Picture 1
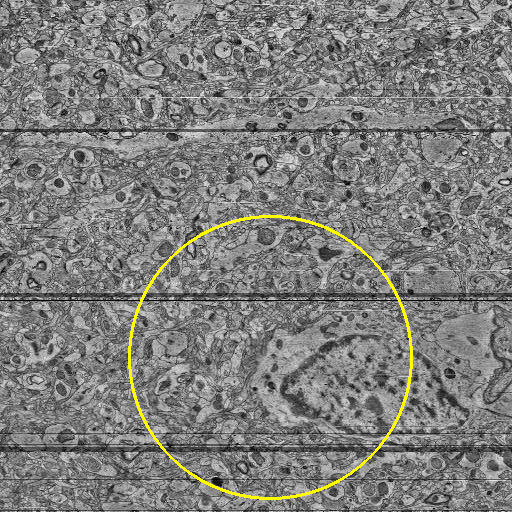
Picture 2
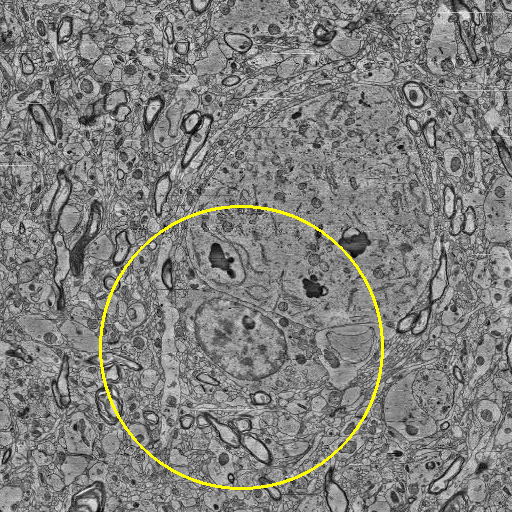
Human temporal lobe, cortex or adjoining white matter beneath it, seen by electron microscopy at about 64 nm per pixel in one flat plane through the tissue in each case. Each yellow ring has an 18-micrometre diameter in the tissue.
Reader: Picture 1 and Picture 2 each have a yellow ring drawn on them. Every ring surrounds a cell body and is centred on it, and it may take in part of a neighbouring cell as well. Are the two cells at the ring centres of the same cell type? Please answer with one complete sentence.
No, the cells are of two cell types.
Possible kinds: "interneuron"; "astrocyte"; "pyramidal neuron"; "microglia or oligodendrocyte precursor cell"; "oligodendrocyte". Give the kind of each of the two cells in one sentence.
The cell in the second picture is an oligodendrocyte, and that in the first is a microglial cell or oligodendrocyte precursor cell.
